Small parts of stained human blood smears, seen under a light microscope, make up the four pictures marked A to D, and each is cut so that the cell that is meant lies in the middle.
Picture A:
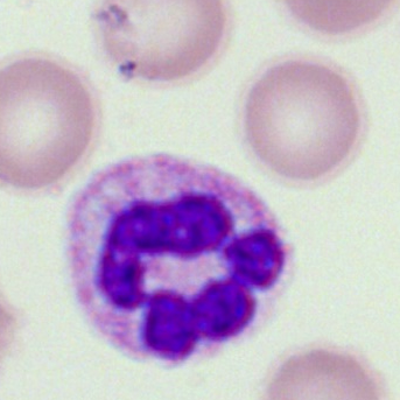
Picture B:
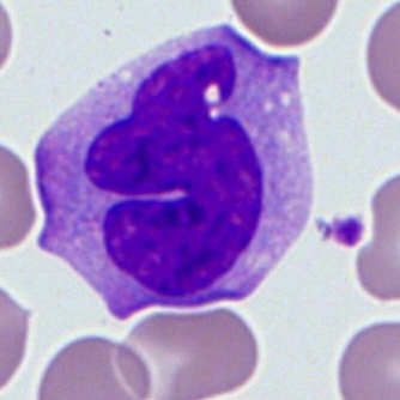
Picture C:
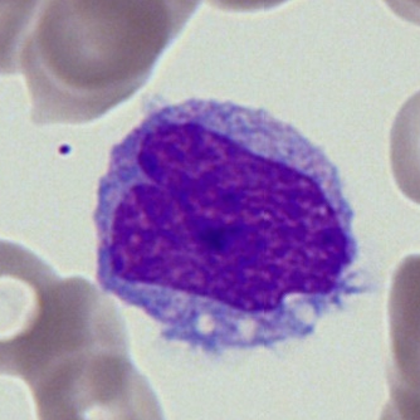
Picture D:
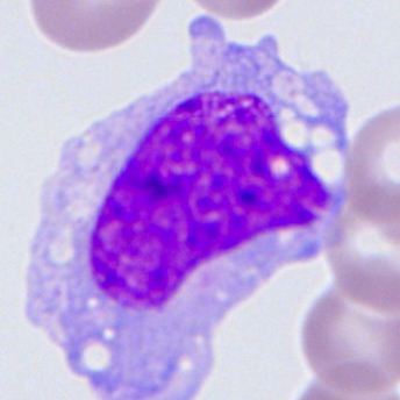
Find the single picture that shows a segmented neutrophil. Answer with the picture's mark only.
A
